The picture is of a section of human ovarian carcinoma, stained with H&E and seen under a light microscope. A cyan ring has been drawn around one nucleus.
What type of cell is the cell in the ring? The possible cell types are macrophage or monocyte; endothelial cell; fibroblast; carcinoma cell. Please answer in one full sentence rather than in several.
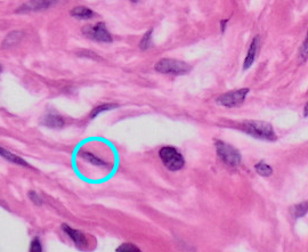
It is as a fibroblast that the cell in the ring is recorded.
